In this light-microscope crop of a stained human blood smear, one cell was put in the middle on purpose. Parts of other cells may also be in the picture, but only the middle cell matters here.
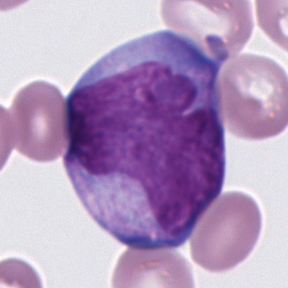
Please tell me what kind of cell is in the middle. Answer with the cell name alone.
atypical promyelocyte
